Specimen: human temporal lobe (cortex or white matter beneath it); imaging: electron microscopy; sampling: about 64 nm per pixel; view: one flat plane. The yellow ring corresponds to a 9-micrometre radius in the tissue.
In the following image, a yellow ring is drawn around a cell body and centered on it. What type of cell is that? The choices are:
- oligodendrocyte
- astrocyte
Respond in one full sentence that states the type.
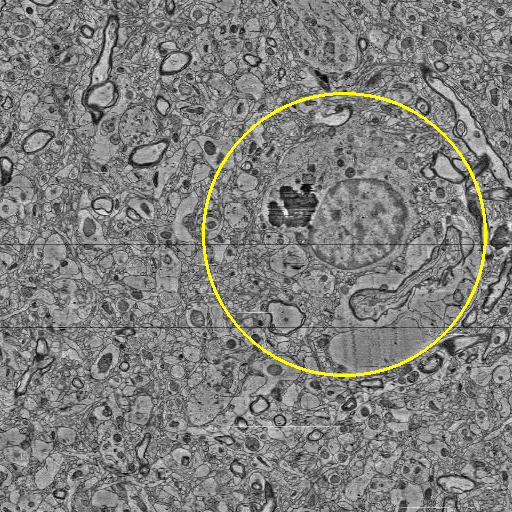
The cell at the center of the yellow ring in the image is an oligodendrocyte.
